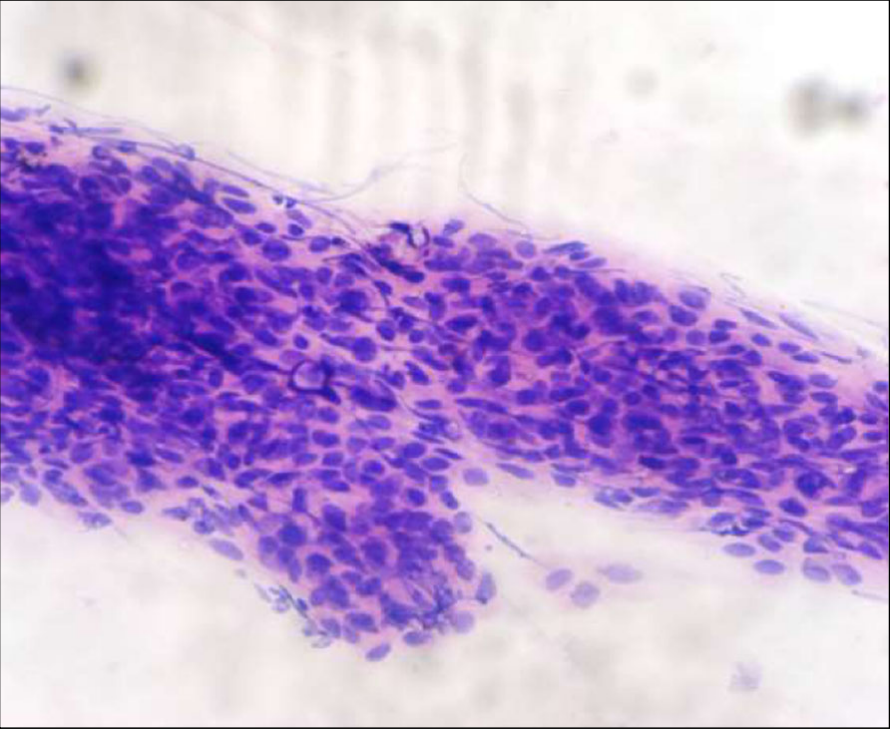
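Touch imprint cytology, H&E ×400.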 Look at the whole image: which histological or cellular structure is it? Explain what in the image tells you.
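Cells lie in a broad, cohesive band rather than singly. The cells overlap into a denser, darker mass on the left. On this evidence: sheets of cells.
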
